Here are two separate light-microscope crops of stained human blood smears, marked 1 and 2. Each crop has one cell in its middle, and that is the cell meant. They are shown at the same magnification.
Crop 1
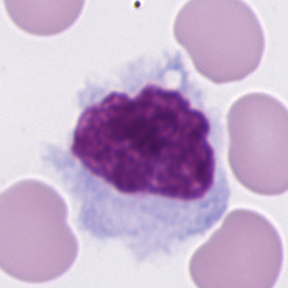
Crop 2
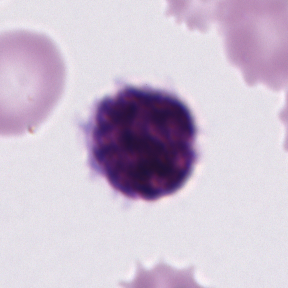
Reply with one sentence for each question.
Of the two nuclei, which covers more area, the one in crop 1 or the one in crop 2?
It is the nucleus in crop 1, about 1.5 times as large in area as the one in crop 2.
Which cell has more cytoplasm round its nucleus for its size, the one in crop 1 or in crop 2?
It is the cell in crop 1 that is filled less by its nucleus.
